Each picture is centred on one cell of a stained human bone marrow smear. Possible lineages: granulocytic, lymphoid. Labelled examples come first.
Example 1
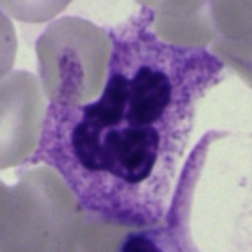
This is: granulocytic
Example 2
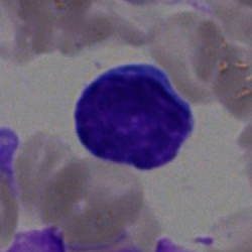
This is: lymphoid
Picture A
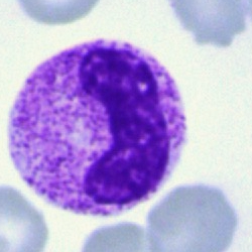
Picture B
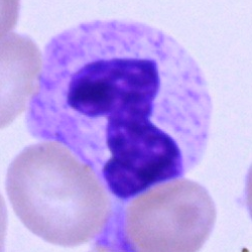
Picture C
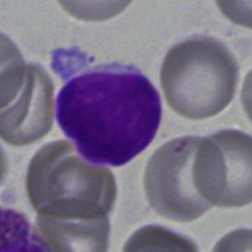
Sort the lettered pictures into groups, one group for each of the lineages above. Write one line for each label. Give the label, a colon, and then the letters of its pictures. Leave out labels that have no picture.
granulocytic: A, B
lymphoid: C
